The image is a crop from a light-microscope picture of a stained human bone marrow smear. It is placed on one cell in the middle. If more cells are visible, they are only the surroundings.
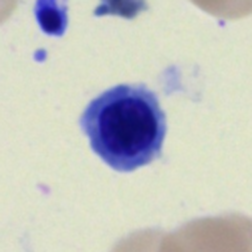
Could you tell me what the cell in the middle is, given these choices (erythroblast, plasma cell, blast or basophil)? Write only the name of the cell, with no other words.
erythroblast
